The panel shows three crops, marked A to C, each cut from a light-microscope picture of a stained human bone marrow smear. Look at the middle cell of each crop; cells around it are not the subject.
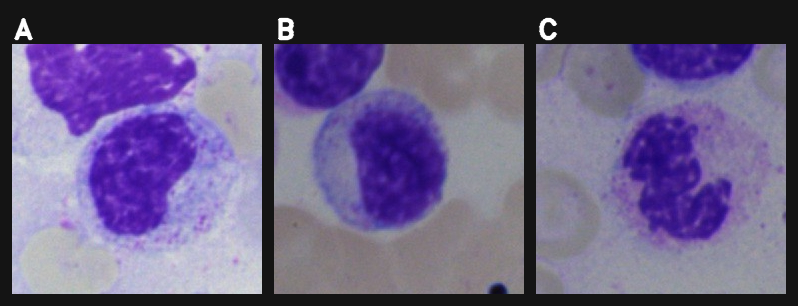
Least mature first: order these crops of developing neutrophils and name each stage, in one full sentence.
The sequence from earliest to latest maturation stage is crop B (a myelocyte), crop A (a metamyelocyte) and crop C (a segmented neutrophil).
